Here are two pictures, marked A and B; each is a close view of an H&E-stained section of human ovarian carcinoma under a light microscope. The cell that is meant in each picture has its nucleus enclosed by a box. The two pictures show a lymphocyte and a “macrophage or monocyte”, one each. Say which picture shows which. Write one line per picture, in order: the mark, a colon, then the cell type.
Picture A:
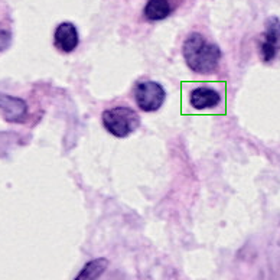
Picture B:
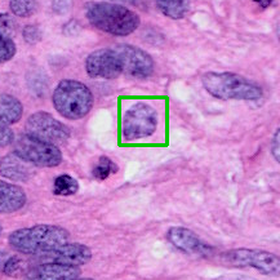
A: lymphocyte
B: macrophage or monocyte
